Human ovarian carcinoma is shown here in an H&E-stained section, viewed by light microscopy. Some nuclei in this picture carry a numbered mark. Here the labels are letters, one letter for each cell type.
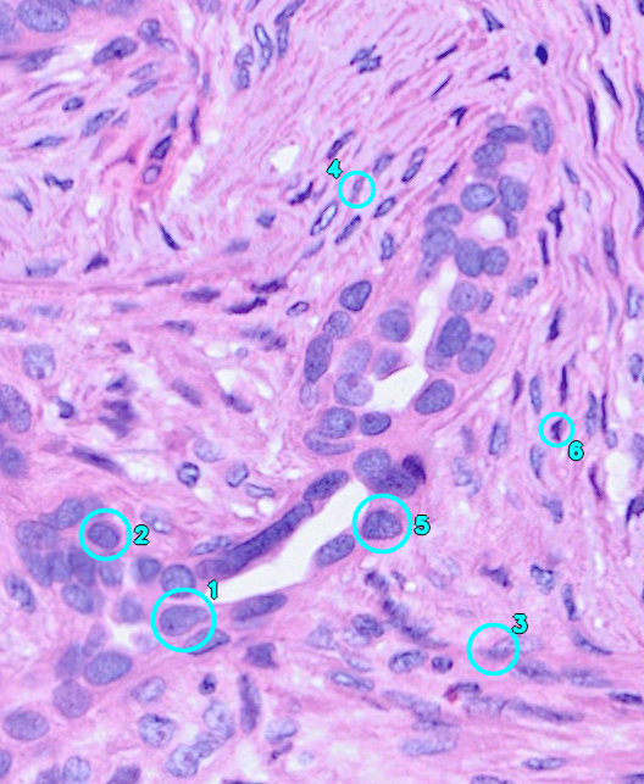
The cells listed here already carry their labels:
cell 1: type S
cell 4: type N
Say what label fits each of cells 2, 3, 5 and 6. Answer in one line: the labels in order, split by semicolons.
type S; type N; type S; type N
